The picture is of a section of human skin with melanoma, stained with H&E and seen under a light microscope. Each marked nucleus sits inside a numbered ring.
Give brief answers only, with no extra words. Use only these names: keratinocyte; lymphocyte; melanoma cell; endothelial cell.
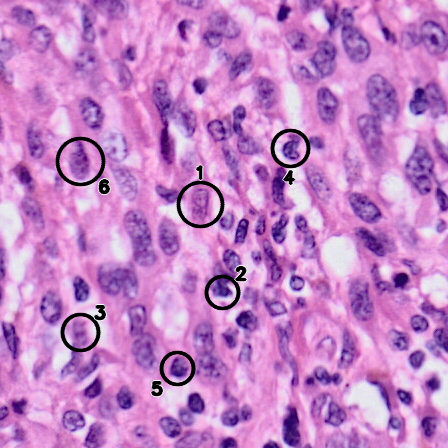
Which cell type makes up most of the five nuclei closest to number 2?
lymphocyte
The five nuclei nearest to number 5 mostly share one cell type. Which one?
melanoma cell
